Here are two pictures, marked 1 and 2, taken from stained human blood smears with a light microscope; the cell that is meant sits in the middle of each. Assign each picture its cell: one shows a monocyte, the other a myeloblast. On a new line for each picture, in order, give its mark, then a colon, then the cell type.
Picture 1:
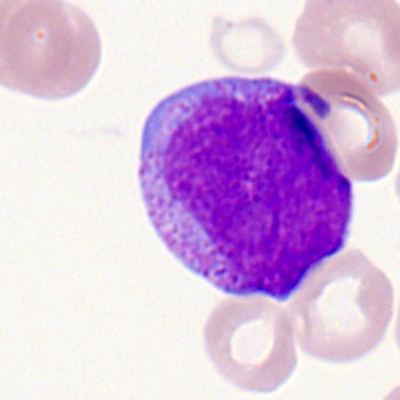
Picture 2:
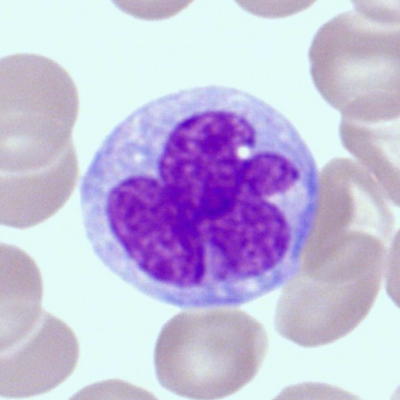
1: myeloblast
2: monocyte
